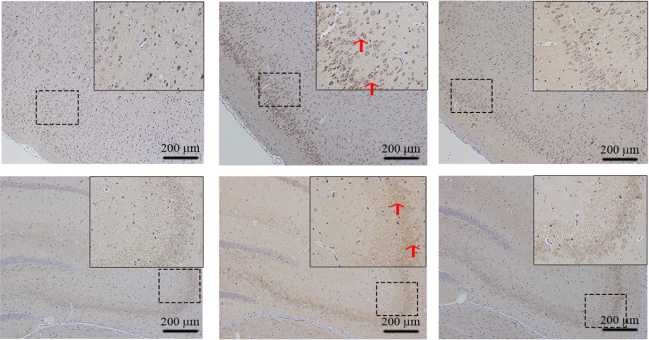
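Pale tissue holds scattered small blue nuclei, and curved bands of densely packed cell bodies cross the lower fields. In the middle column the tissue carries a darker brown tint, and the inset shows rounded cell bodies with brown cytoplasm, marked by red arrows. The fields on the left and right are paler, with only light brown staining.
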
